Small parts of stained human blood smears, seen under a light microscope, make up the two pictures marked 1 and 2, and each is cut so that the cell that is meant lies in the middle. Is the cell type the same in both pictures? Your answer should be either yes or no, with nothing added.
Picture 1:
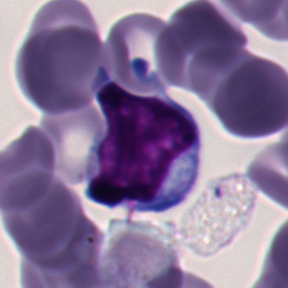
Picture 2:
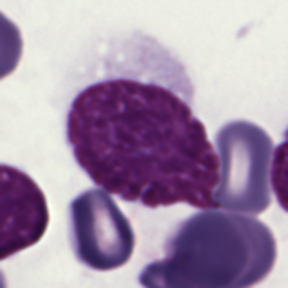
no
